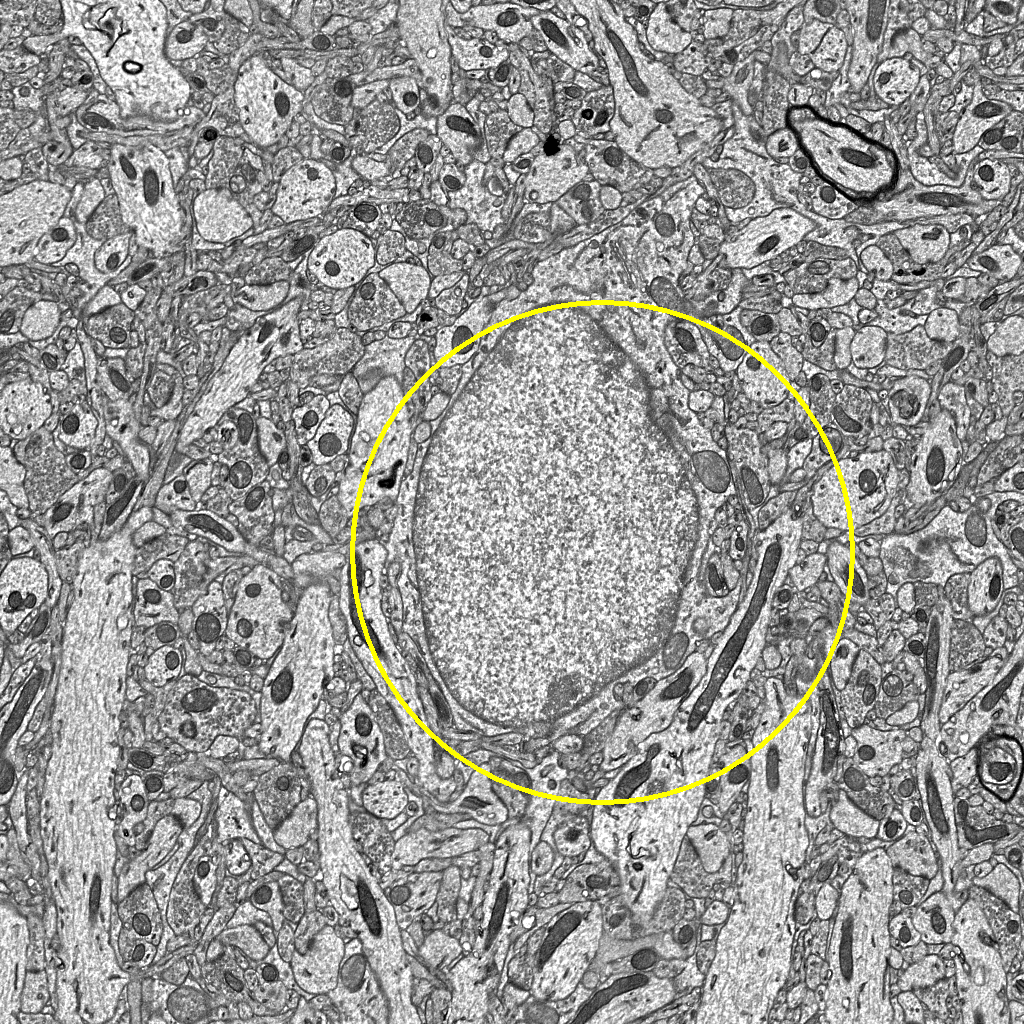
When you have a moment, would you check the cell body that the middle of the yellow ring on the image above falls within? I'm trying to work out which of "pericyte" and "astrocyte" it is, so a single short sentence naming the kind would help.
This cell body belongs to an astrocyte.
